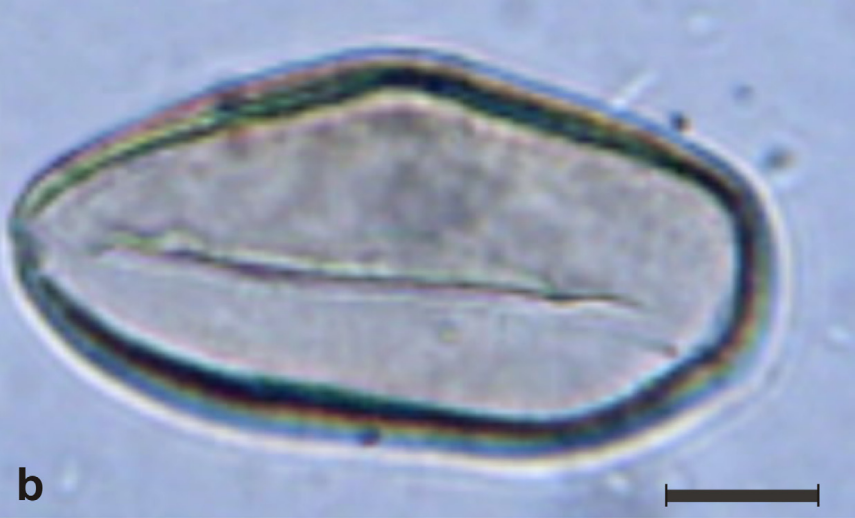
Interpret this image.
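This is a single pollen grain seen under the light microscope, elongated and elliptical in outline. Its wall is thick and strongly refractile, showing as a dark rim with coloured fringes around the whole grain. A long narrow slit-like furrow runs lengthwise through the middle of the grain, nearly from one end to the other. The interior is pale grey and finely granular, with no clear internal detail. The background around it is plain and pale.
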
